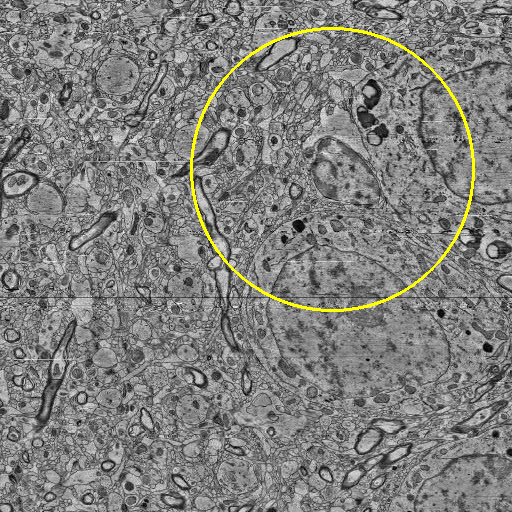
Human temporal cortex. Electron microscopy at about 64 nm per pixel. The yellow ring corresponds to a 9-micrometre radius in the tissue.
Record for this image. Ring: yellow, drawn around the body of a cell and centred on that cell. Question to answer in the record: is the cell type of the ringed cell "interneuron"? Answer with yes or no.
no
